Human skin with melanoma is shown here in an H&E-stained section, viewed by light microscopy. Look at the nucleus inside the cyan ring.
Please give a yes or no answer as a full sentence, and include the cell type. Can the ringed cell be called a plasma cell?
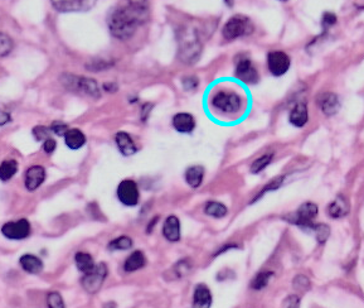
Yes, the ringed cell in this field is a plasma cell.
